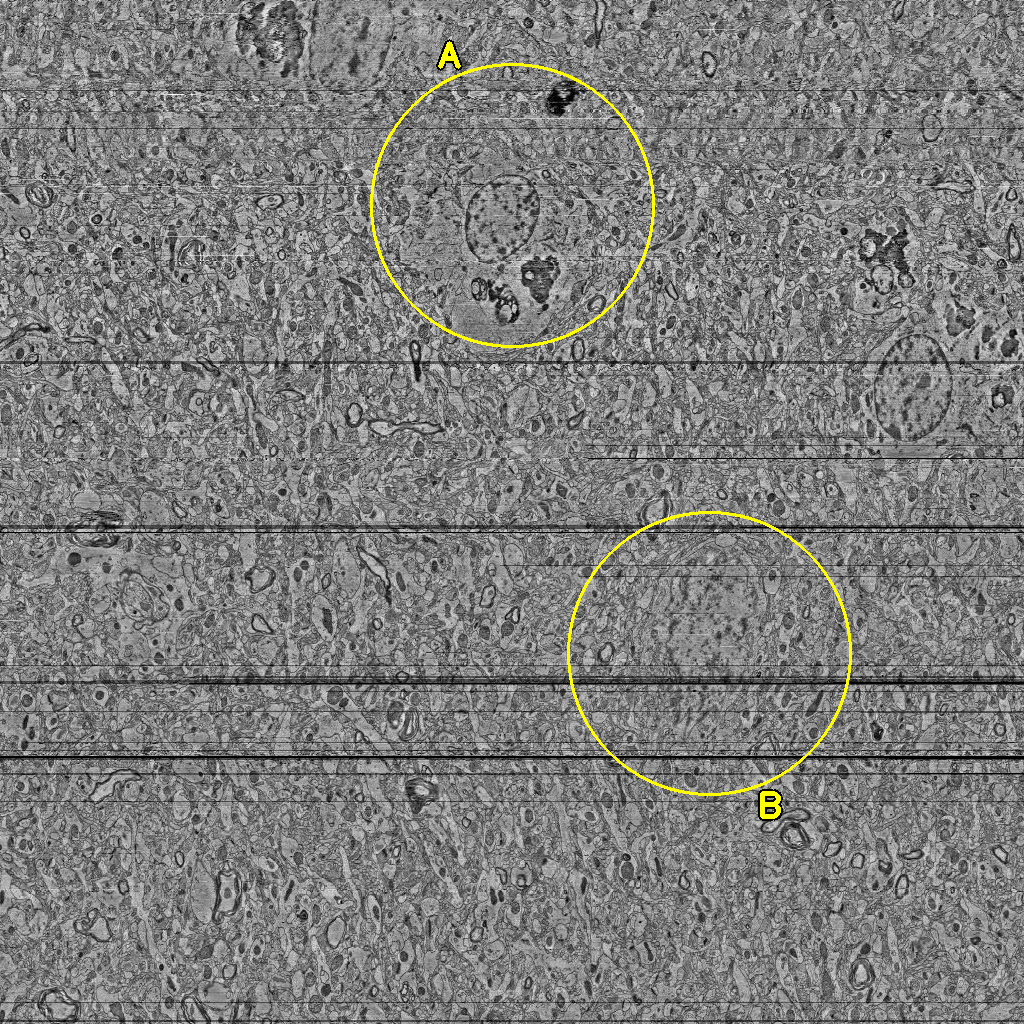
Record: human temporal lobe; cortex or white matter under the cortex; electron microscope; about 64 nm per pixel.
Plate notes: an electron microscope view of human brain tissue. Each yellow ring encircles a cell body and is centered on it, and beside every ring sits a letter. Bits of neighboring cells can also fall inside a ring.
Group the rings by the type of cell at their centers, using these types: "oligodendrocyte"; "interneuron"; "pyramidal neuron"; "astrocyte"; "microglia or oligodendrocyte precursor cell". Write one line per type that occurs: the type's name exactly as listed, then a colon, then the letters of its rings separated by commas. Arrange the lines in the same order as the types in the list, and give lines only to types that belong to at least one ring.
interneuron: B
astrocyte: A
